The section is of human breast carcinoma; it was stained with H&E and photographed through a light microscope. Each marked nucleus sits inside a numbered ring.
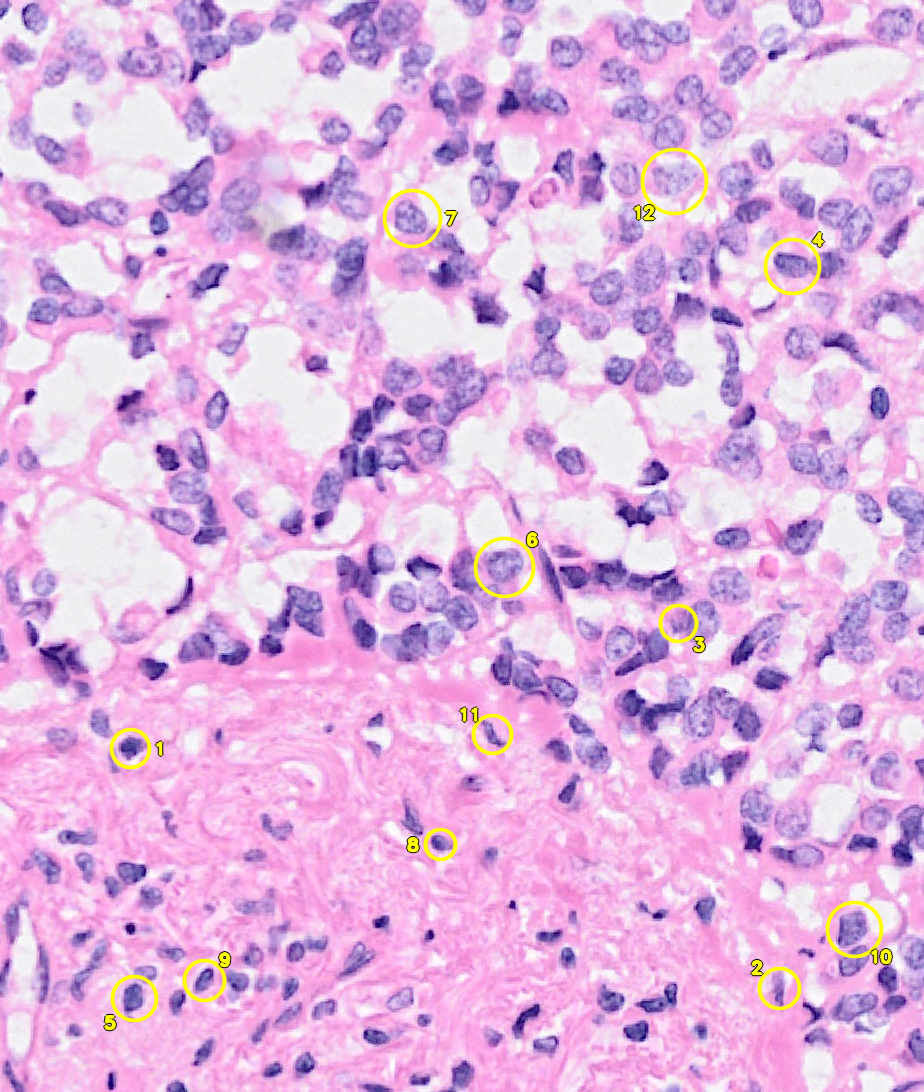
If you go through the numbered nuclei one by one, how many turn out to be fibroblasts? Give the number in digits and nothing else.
2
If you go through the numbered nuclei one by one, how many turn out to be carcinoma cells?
6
